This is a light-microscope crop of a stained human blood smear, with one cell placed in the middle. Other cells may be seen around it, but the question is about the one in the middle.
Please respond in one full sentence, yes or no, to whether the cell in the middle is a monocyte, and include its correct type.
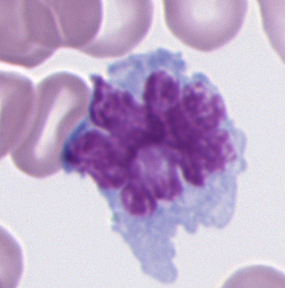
Yes, the cell positioned at the centre of the crop is a monocyte.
